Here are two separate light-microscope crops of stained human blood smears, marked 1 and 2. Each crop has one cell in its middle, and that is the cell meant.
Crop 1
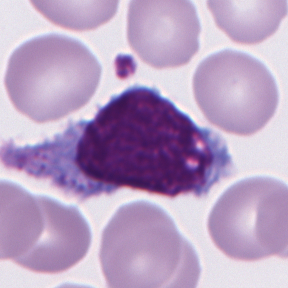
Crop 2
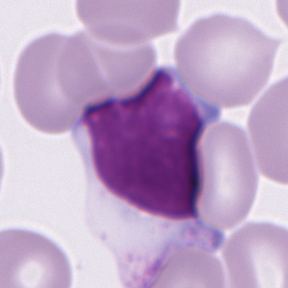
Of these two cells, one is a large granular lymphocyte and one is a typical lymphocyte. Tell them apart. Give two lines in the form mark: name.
1: typical lymphocyte
2: large granular lymphocyte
